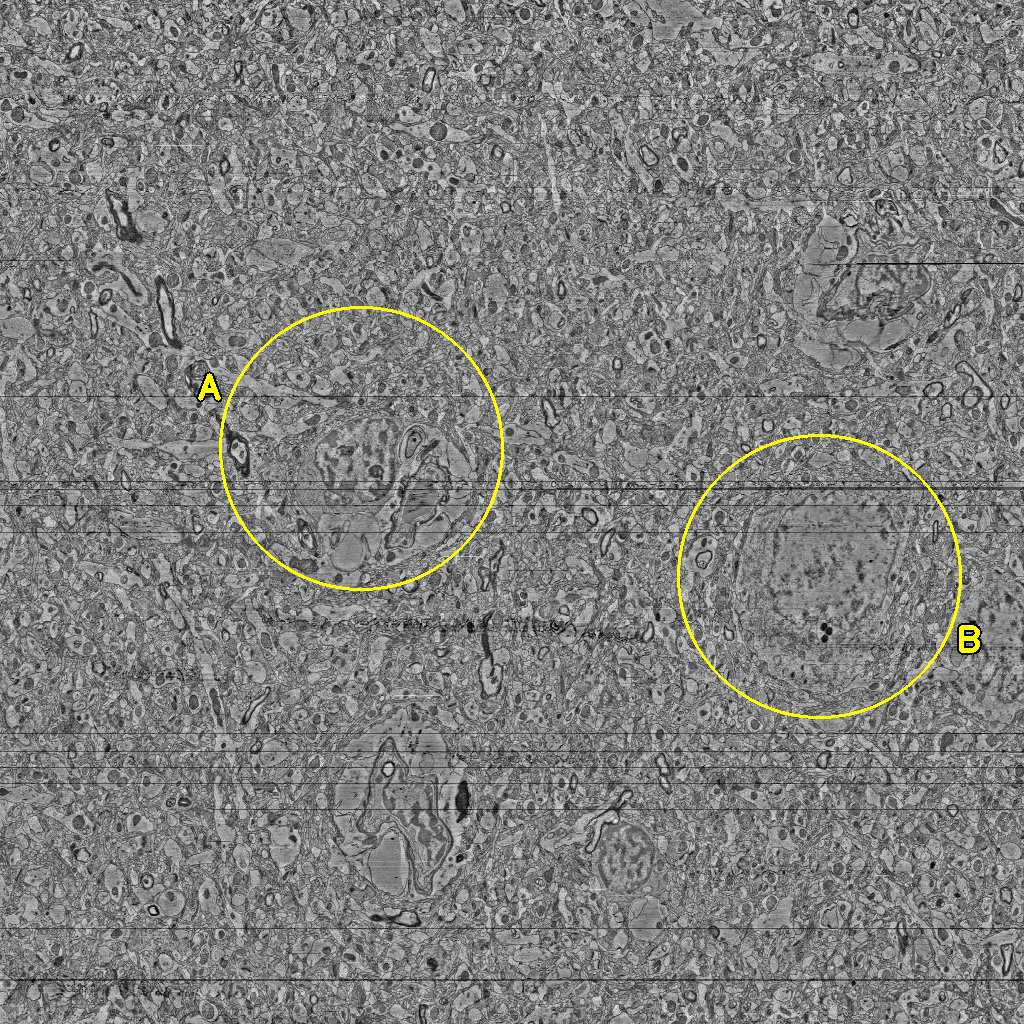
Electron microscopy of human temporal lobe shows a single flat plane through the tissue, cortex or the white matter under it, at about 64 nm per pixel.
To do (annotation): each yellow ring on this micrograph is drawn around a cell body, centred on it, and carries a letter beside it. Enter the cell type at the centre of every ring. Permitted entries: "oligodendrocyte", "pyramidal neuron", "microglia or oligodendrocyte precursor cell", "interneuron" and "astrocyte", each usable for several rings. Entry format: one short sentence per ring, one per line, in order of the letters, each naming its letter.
Ring A: the cell at its centre is an oligodendrocyte.
Ring B: the cell at its centre is an interneuron.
